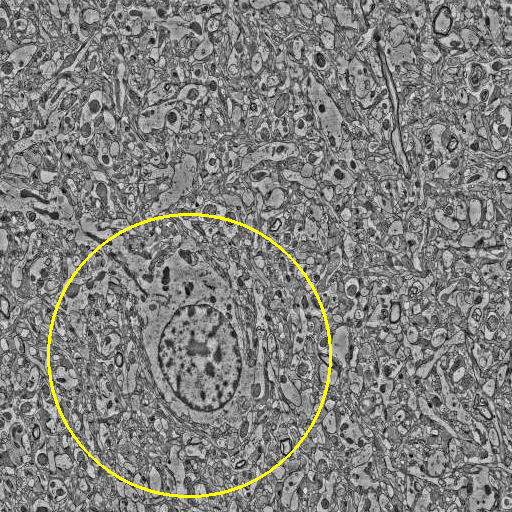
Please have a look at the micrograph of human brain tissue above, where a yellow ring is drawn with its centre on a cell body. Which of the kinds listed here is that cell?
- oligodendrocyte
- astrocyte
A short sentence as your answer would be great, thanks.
At the centre of the ring sits an astrocyte.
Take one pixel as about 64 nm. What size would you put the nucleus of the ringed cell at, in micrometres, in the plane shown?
The nucleus works out at approximately 7 by 5 micrometres in this plane.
